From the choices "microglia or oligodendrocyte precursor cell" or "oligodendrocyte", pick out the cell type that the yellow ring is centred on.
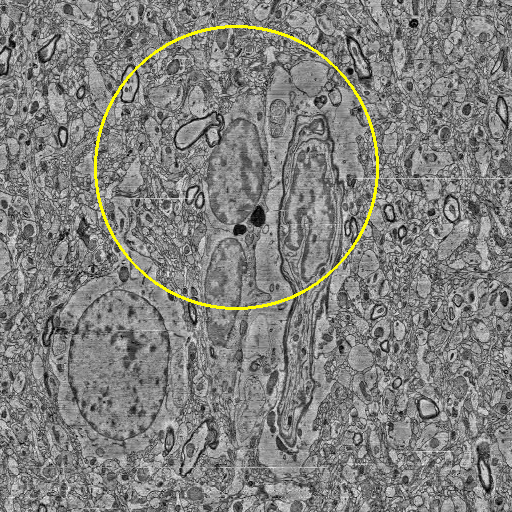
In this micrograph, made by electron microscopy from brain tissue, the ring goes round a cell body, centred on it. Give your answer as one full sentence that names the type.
The yellow ring is centred on an oligodendrocyte, whose cell body it encircles in the picture.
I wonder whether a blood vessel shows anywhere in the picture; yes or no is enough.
Yes, there is a blood vessel in the image.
